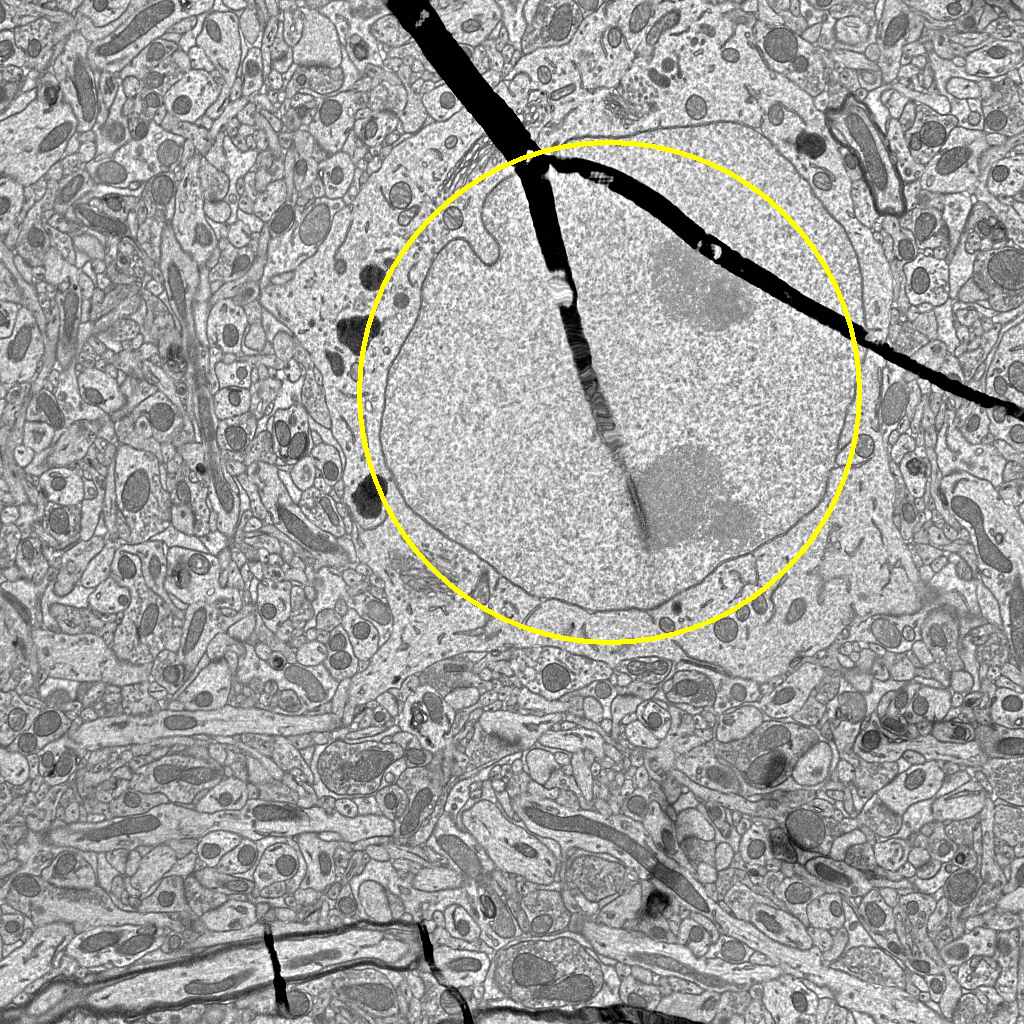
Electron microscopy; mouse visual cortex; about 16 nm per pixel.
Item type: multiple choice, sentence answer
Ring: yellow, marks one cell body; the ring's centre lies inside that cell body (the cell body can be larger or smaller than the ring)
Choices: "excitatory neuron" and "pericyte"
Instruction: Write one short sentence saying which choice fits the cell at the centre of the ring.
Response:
The centre of this ring lies on an excitatory neuron.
